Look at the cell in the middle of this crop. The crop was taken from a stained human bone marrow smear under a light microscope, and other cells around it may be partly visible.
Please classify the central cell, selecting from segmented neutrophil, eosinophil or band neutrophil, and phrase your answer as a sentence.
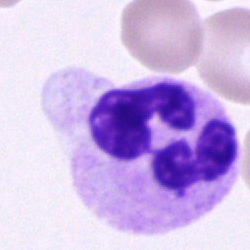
The cell centred in this crop is categorized as a segmented neutrophil.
